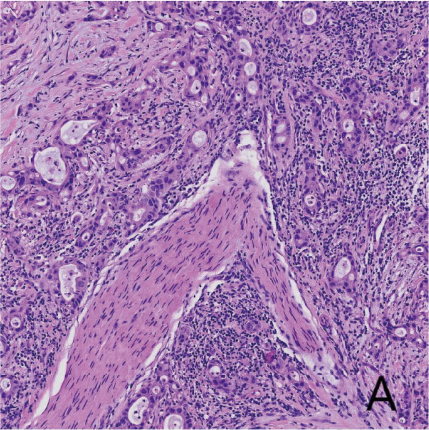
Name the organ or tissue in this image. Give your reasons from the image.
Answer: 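Small gland-like lumina with pale pink contents are scattered through the tissue. Lining cells are enlarged with atypical nuclei. Dense lymphocyte-rich stroma surrounds the glands.
Hence: adenocarcinoma.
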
